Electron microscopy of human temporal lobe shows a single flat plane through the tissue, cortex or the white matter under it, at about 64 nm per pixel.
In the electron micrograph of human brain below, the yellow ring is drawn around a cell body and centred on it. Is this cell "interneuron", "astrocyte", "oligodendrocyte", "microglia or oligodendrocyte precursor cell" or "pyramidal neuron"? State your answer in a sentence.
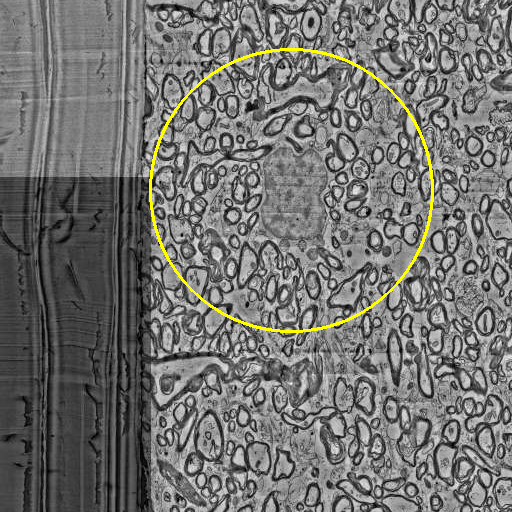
The cell in the middle of the ring is an oligodendrocyte.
